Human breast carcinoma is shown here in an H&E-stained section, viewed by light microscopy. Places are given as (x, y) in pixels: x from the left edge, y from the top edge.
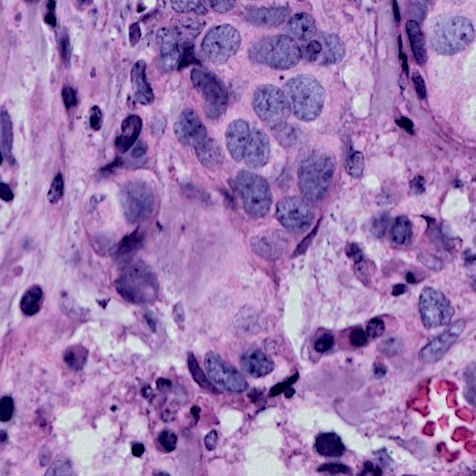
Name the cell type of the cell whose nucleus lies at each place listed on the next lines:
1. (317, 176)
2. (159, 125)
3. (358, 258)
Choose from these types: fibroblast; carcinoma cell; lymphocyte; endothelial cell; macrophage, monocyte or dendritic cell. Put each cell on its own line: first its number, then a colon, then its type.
1: carcinoma cell
2: carcinoma cell
3: macrophage, monocyte or dendritic cell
